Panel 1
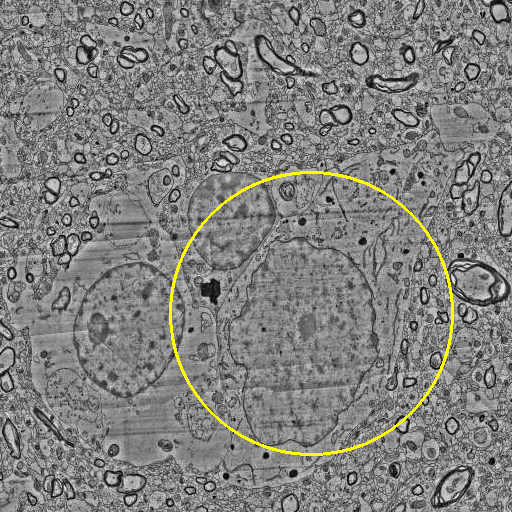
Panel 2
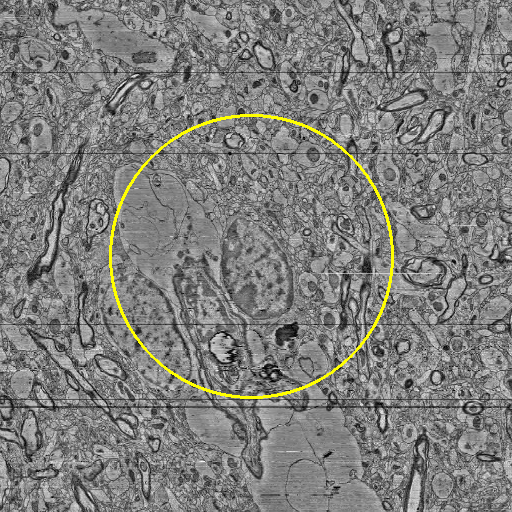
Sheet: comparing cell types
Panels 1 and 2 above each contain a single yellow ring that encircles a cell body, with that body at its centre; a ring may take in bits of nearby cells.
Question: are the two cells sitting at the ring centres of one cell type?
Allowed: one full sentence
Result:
No, the ring-centre cells in Panel 1 and Panel 2 are of two types.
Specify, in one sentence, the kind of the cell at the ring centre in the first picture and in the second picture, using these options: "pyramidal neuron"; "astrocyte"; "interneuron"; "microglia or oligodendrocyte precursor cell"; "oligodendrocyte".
So the first is a pyramidal neuron, the second an oligodendrocyte.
